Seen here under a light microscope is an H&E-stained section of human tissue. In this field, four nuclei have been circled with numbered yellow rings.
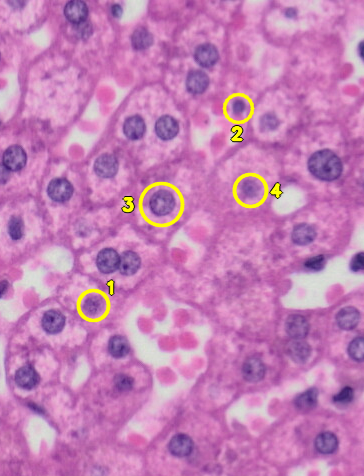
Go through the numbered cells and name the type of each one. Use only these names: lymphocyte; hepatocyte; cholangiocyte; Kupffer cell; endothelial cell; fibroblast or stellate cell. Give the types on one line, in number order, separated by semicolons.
hepatocyte; lymphocyte; hepatocyte; hepatocyte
